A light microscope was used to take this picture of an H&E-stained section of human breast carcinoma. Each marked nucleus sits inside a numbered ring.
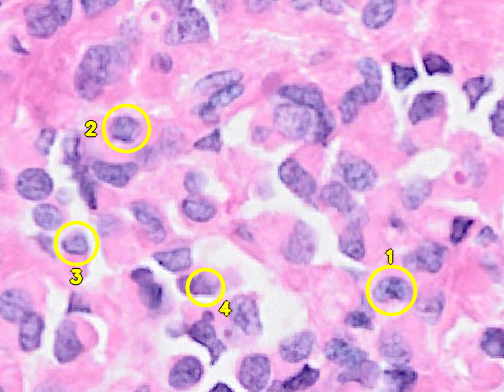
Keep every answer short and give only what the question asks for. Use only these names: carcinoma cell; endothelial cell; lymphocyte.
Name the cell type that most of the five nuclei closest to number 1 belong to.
carcinoma cell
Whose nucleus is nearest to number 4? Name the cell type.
carcinoma cell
